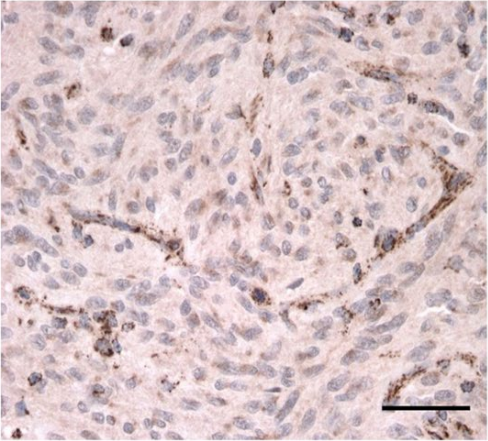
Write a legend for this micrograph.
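This tumour is made up of densely packed cells with oval to slightly elongated nuclei. The nuclei are pale blue and fairly uniform, and the cells have pale pink-beige cytoplasm. The tumour cells themselves carry only faint, diffuse background colour. Strong granular brown staining is confined to slender branching strands that wind between the tumour cells, resembling small vessels, and to a few scattered single cells. This gives a network-like brown pattern against a pale tumour background.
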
